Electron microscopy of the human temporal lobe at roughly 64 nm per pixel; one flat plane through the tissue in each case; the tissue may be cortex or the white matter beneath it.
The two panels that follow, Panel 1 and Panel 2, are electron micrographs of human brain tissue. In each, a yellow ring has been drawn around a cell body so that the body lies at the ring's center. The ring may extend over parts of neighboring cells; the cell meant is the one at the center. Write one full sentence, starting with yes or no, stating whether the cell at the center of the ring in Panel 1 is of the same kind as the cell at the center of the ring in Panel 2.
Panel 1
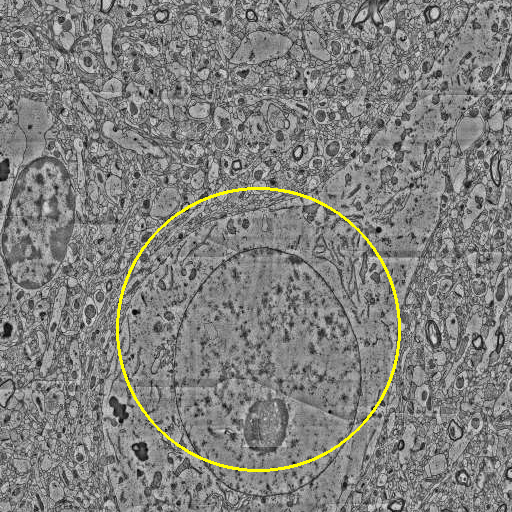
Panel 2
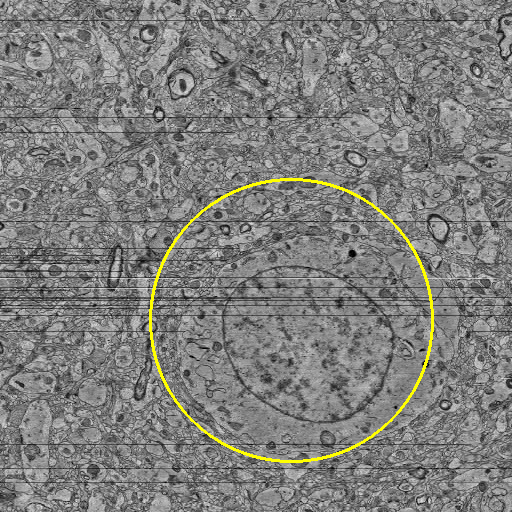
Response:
Yes, the cells in both panels are of the same kind.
